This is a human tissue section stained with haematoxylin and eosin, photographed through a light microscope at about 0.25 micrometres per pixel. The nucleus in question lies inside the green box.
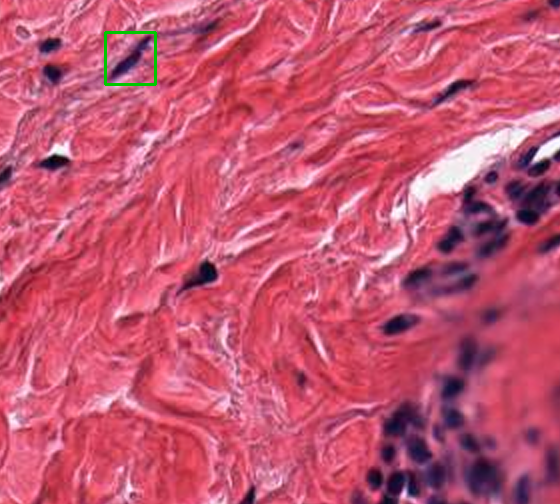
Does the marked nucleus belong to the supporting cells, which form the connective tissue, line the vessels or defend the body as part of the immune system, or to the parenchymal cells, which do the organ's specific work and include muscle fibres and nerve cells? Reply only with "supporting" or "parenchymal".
supporting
